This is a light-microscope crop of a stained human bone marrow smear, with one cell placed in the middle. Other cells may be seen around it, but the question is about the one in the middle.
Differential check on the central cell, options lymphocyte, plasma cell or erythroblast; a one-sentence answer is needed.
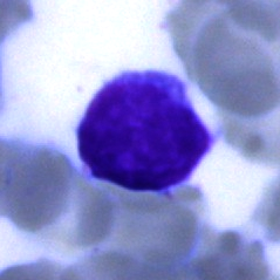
The cell marked by its central position in the crop is a lymphocyte.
